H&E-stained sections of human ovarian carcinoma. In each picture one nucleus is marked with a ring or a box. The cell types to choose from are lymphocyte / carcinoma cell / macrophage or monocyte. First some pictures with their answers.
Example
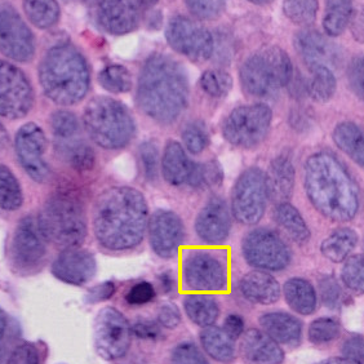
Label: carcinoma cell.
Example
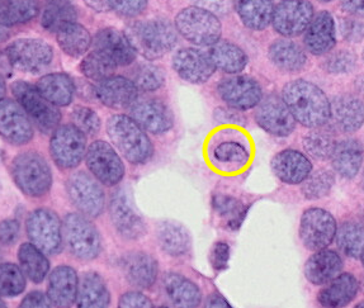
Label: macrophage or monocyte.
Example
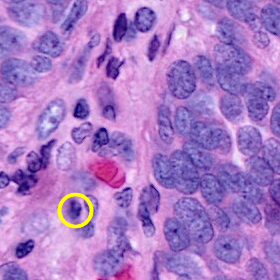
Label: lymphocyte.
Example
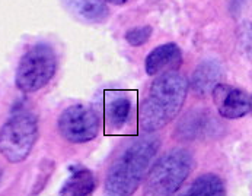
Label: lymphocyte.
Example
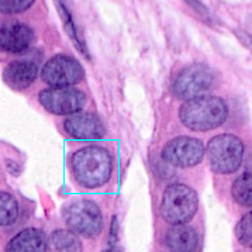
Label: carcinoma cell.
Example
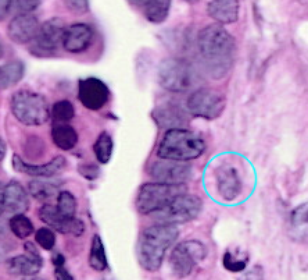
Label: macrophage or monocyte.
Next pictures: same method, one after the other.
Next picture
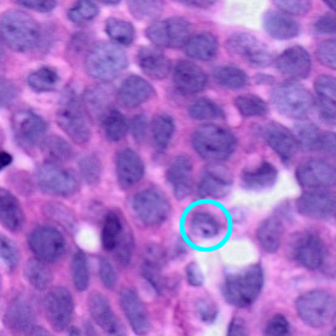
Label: macrophage or monocyte.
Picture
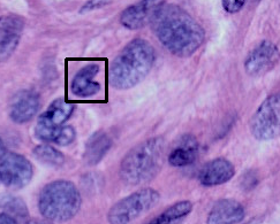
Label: macrophage or monocyte.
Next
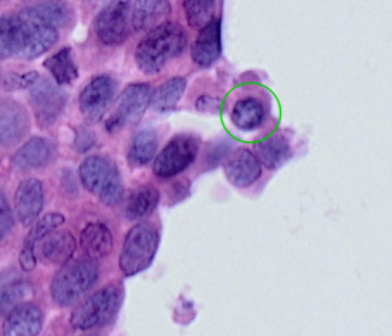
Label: macrophage or monocyte.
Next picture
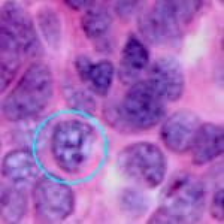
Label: macrophage or monocyte.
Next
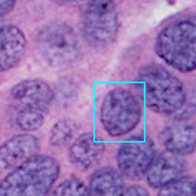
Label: carcinoma cell.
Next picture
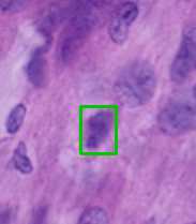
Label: macrophage or monocyte.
